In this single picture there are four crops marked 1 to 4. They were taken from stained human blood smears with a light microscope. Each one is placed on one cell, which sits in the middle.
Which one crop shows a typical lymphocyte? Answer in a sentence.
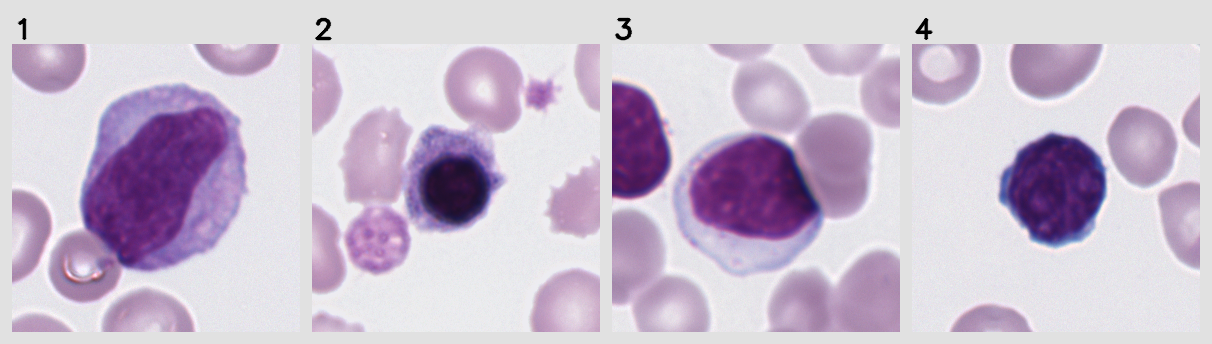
Of the cells presented, the one in crop 4 is a typical lymphocyte.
